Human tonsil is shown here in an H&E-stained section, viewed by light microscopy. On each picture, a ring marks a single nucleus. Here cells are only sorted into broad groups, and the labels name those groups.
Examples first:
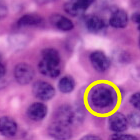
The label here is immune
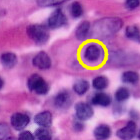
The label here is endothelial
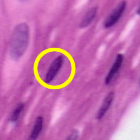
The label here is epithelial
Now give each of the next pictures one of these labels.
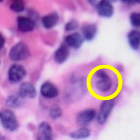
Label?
endothelial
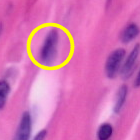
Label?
endothelial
